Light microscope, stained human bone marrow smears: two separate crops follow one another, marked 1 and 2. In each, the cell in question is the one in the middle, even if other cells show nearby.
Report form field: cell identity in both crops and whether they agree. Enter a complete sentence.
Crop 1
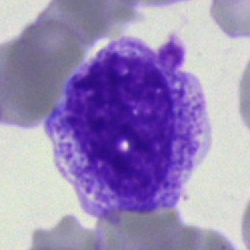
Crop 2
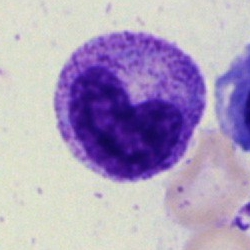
No, the cell centred in crop 1 is a myelocyte, and that centred in crop 2 is a metamyelocyte.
